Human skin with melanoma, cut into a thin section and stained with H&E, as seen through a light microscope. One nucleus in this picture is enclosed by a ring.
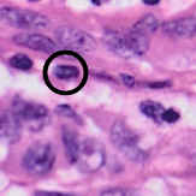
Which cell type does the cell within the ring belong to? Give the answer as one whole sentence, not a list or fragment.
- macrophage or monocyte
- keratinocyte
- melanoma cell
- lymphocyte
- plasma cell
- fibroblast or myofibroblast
In this tissue section, the cell within the ring is to be classed as a lymphocyte.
